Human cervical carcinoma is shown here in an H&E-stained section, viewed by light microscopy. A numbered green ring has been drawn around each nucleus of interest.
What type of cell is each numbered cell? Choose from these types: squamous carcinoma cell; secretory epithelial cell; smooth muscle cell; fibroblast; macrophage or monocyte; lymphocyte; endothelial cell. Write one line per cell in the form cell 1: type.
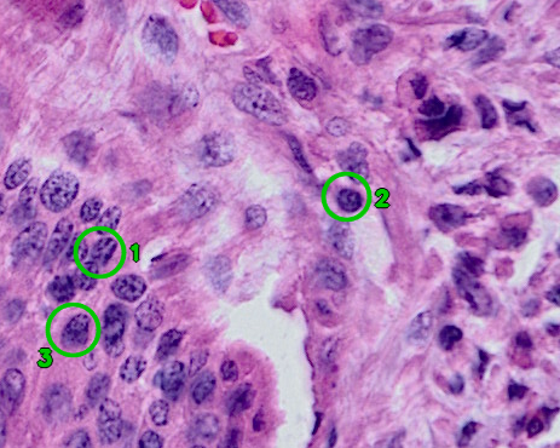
cell 1: squamous carcinoma cell
cell 2: lymphocyte
cell 3: squamous carcinoma cell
